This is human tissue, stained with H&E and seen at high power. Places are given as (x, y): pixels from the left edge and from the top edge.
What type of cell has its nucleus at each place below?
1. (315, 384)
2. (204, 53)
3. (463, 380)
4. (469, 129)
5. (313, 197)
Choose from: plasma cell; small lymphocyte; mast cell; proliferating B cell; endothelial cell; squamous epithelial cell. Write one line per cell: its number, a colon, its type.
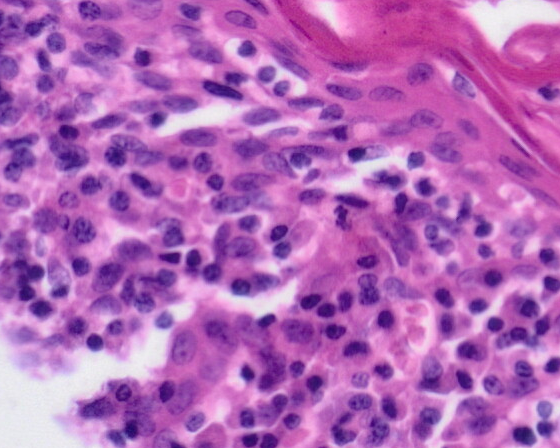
1: plasma cell
2: squamous epithelial cell
3: plasma cell
4: squamous epithelial cell
5: squamous epithelial cell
